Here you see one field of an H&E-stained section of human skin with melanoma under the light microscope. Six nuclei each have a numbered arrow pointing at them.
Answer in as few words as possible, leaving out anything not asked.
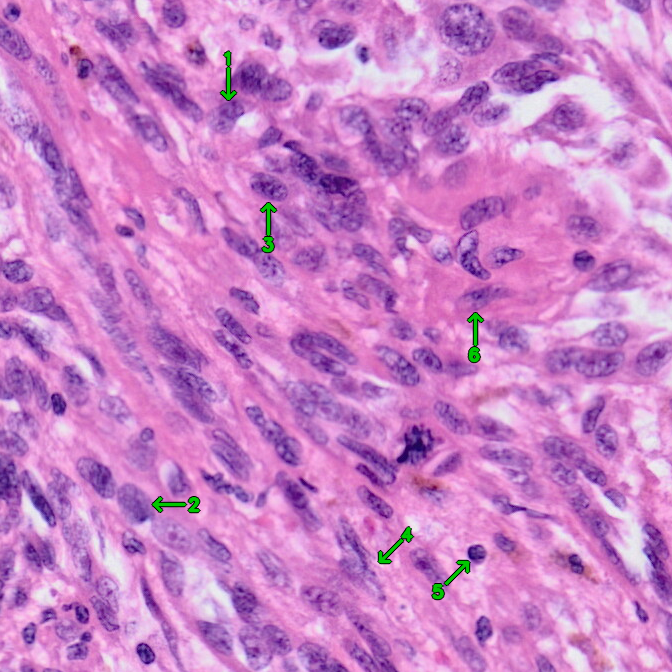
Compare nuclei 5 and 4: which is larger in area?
4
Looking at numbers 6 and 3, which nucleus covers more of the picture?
3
